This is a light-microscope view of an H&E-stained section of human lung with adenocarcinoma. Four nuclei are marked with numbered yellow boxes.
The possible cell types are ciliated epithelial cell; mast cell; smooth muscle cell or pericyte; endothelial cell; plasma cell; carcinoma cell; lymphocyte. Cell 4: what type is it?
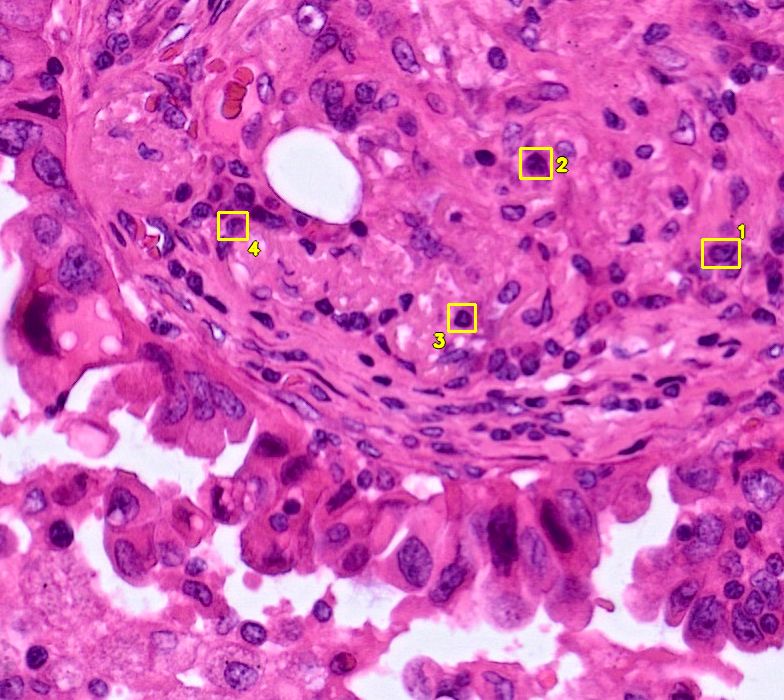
lymphocyte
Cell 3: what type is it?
plasma cell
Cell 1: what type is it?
plasma cell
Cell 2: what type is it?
plasma cell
